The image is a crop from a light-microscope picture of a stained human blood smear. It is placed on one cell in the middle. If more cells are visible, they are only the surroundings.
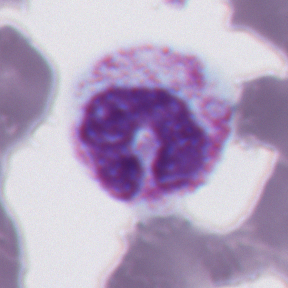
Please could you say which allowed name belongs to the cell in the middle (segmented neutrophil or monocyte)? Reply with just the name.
segmented neutrophil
